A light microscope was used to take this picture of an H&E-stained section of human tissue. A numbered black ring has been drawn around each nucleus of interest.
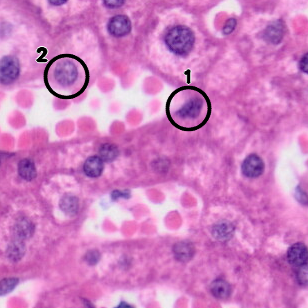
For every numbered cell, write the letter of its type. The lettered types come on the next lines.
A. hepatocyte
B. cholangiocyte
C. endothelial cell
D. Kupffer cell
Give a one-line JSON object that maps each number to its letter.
{"1": "C", "2": "A"}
